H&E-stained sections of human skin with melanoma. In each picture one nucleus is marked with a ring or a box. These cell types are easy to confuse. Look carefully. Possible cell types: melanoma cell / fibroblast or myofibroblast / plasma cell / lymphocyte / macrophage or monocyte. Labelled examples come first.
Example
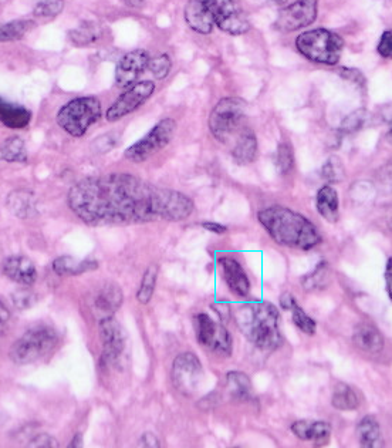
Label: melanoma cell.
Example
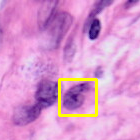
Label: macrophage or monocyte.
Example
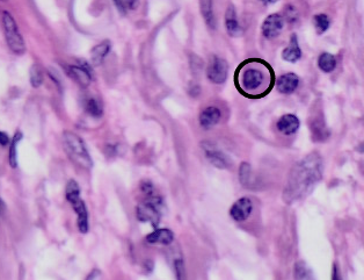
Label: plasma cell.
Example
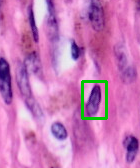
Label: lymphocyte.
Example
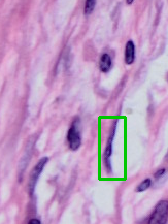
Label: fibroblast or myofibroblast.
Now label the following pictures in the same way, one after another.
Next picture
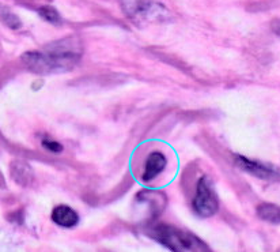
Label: lymphocyte.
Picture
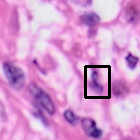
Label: fibroblast or myofibroblast.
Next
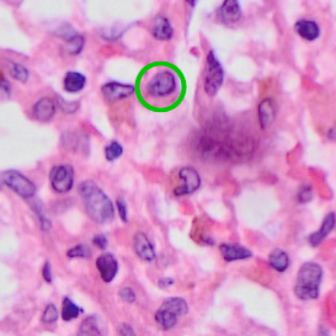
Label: macrophage or monocyte.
